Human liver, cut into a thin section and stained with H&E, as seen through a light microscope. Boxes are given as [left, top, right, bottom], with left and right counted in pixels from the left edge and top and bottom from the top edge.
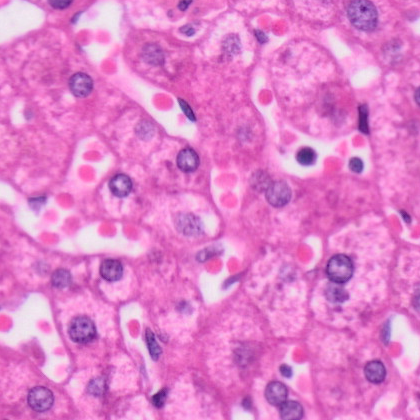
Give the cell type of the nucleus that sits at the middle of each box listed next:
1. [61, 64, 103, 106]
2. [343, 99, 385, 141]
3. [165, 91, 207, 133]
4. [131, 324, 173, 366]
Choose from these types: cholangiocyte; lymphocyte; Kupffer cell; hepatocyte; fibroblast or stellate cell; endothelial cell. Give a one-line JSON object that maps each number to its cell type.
{"1": "hepatocyte", "2": "fibroblast or stellate cell", "3": "endothelial cell", "4": "Kupffer cell"}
